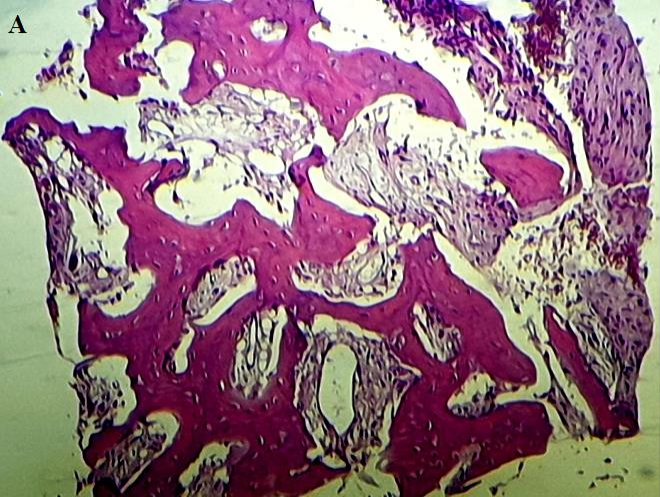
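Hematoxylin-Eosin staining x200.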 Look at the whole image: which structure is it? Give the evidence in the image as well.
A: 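Branching, interconnected bands of deep pink-red matrix run across the panel. Small lacunae with tiny nuclei are scattered within the pink matrix. Spaces between the bands are filled with pale, loose fibrous tissue.
Trabecular architecture of bone.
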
